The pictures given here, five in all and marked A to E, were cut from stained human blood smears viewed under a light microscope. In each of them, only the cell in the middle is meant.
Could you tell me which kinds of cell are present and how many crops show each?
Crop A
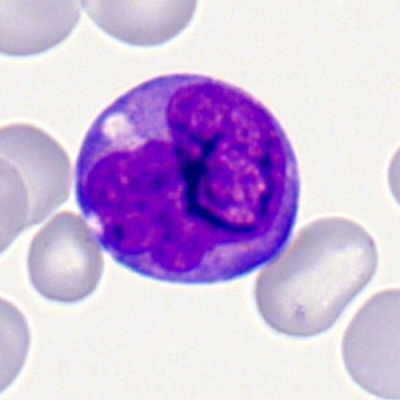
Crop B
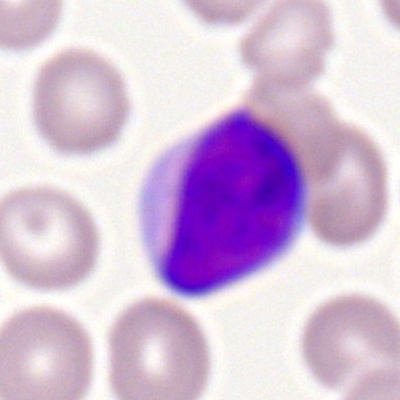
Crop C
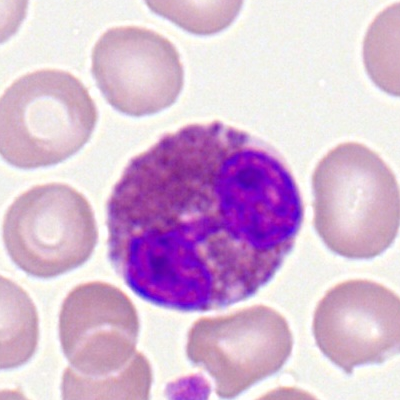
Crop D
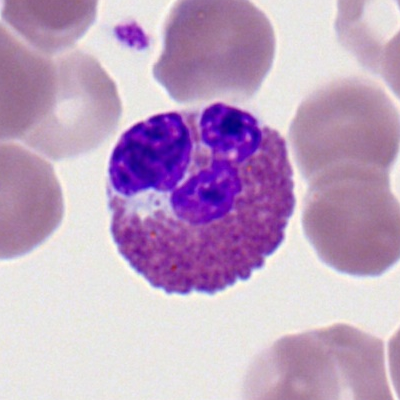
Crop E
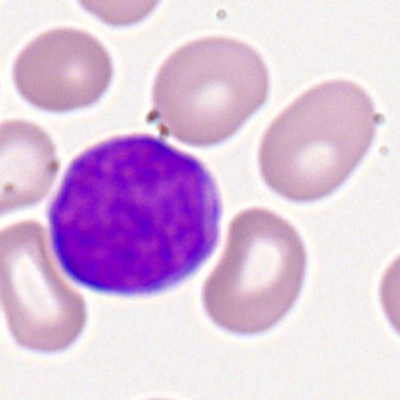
blast: 3
eosinophil: 2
